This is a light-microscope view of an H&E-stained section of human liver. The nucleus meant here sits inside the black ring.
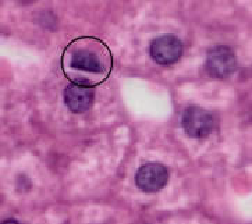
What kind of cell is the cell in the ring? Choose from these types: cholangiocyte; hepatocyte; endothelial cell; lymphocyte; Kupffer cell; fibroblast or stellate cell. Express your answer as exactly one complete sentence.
The category to which the cell in the ring belongs is that of a fibroblast or stellate cell.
